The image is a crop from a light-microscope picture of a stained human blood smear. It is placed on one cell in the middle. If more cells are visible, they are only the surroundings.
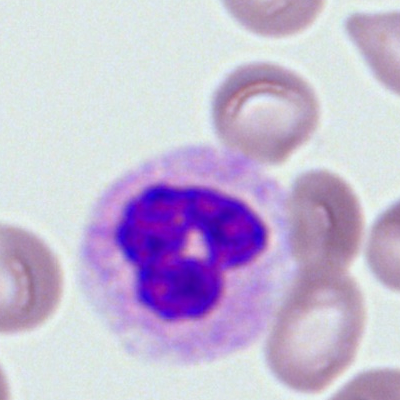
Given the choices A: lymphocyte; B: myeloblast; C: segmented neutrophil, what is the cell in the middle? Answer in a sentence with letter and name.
Option C is to be chosen, as the central cell is a segmented neutrophil.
